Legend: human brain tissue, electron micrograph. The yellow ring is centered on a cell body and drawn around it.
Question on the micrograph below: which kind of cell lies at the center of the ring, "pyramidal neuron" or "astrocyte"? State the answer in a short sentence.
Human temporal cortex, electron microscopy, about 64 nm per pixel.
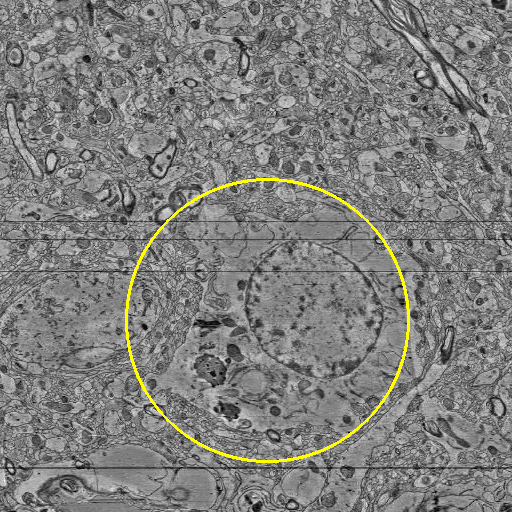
At the center of the ring lies an astrocyte.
